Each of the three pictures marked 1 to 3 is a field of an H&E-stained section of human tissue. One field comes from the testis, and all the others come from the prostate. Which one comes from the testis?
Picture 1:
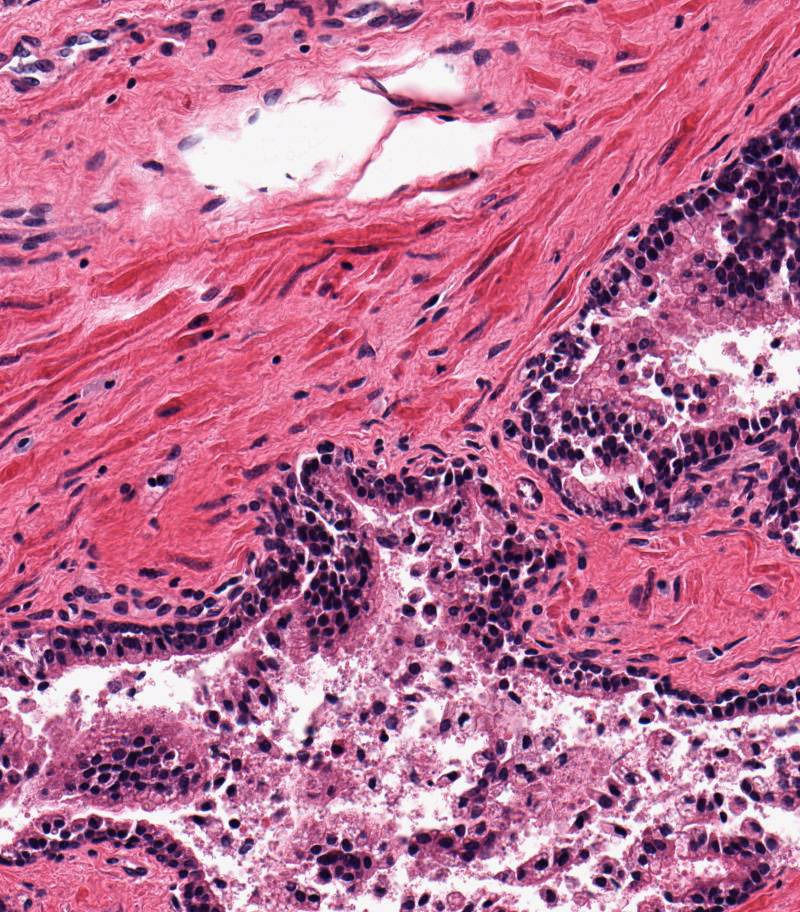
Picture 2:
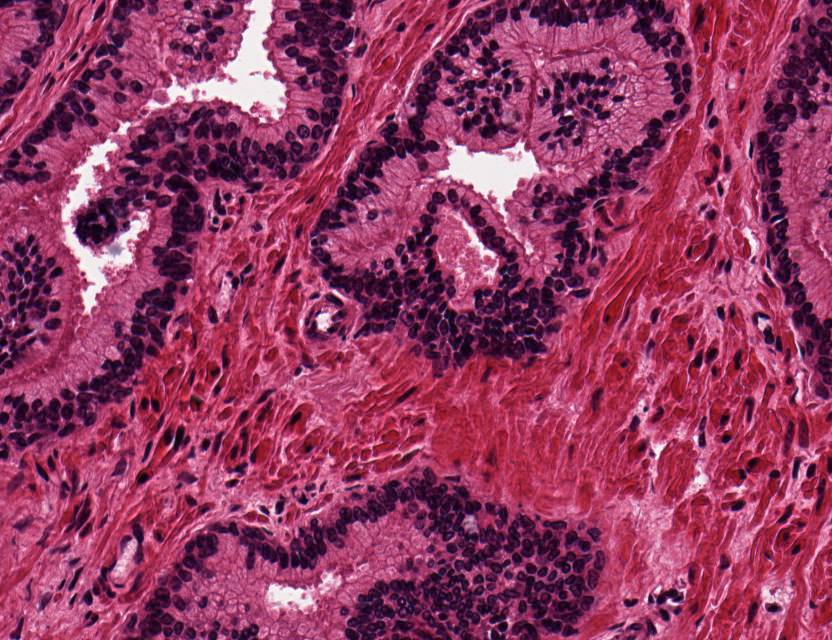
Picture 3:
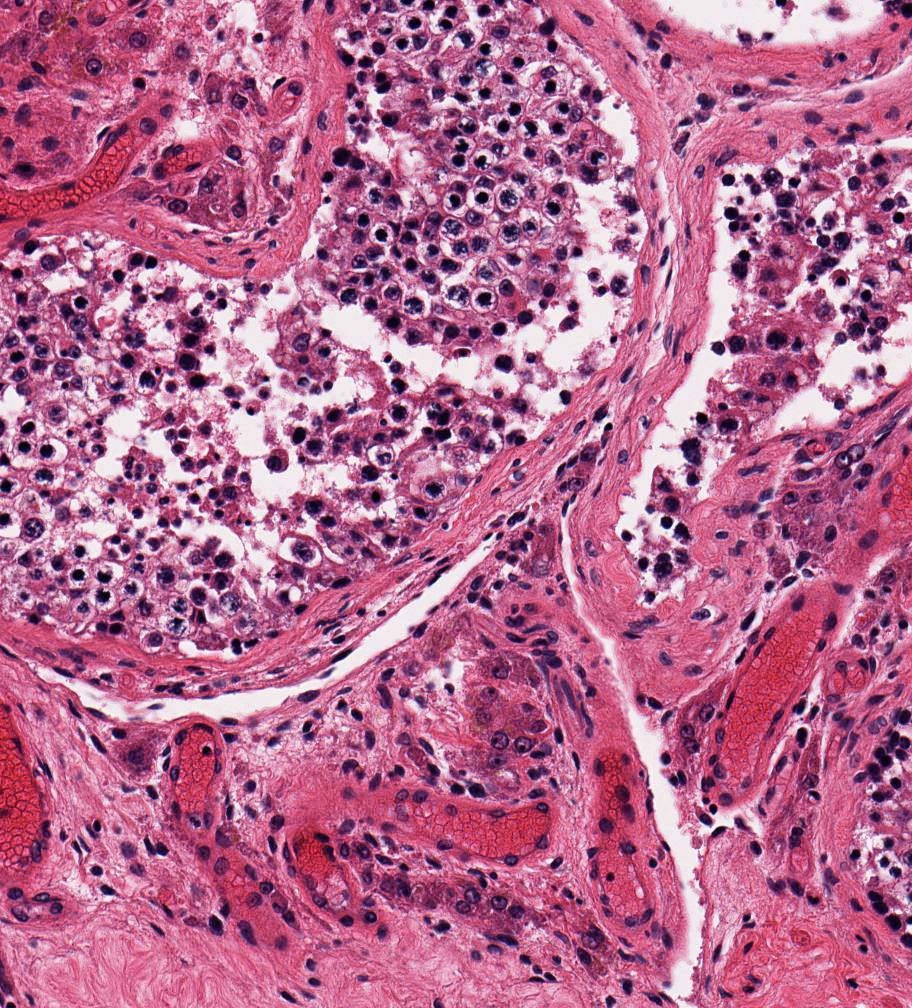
3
